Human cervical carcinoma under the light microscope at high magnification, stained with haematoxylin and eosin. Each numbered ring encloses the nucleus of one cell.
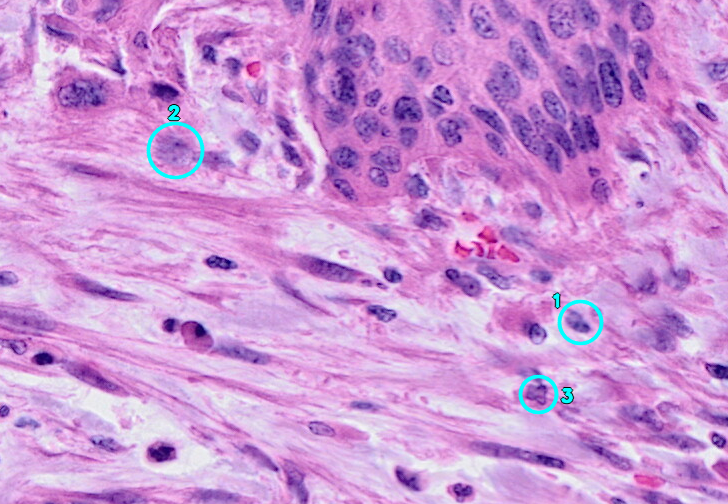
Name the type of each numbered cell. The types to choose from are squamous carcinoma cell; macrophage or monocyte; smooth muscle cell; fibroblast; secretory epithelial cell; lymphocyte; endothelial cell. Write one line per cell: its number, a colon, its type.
1: lymphocyte
2: fibroblast
3: macrophage or monocyte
